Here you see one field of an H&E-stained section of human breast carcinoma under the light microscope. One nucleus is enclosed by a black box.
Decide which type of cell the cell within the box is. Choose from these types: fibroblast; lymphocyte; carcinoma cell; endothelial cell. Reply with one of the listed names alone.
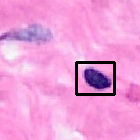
lymphocyte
